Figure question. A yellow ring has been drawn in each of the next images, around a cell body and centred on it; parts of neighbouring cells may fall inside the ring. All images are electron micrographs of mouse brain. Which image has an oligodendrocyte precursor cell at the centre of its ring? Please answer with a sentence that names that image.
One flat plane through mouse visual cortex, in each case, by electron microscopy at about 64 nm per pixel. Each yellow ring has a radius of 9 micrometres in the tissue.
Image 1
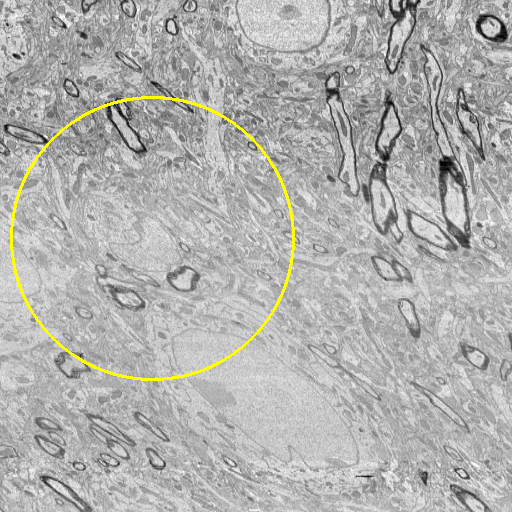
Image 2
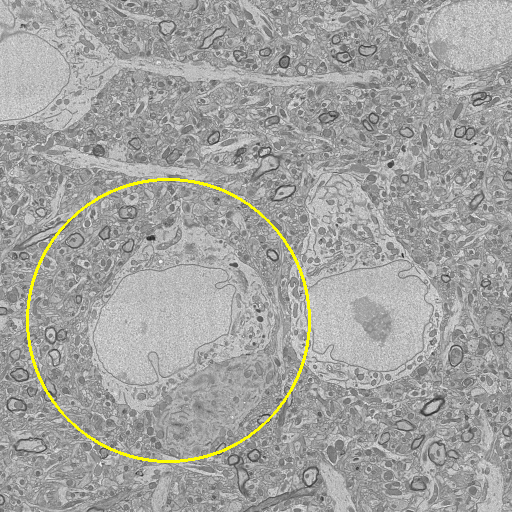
The cell at the centre of the ring in Image 1 is of that kind.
